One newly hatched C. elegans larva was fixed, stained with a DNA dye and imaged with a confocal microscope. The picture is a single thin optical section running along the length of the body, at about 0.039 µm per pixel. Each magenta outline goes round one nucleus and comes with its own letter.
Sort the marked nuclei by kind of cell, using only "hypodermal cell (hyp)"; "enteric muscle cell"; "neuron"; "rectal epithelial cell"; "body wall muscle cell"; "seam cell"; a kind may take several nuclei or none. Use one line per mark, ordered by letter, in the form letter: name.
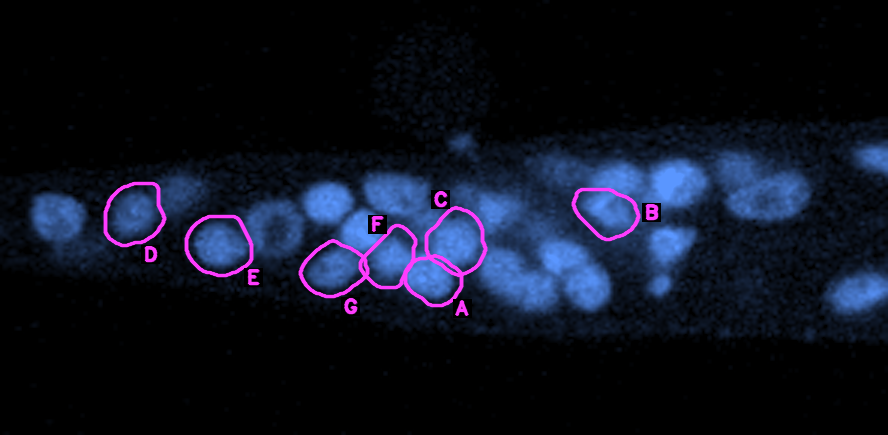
A: enteric muscle cell
B: rectal epithelial cell
C: neuron
D: hypodermal cell (hyp)
E: neuron
F: neuron
G: body wall muscle cell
